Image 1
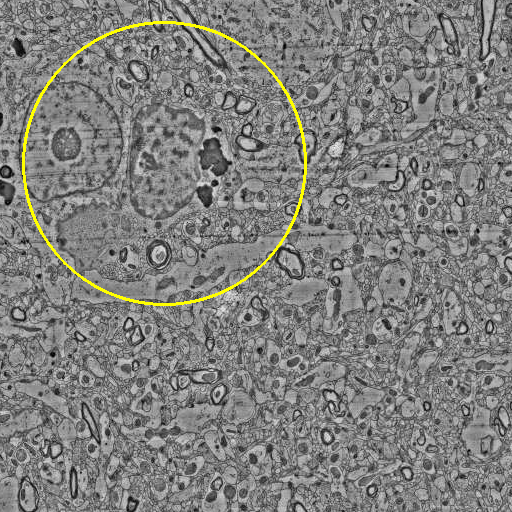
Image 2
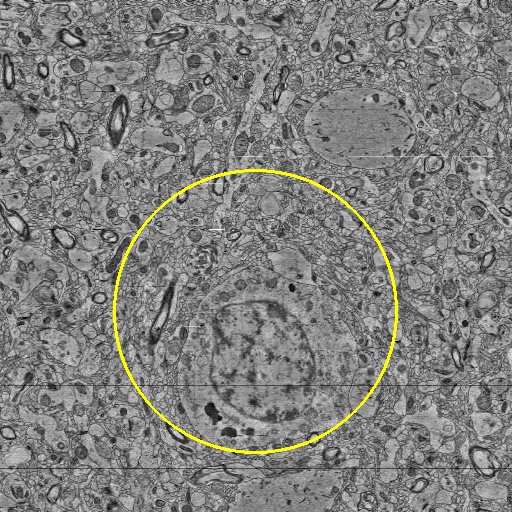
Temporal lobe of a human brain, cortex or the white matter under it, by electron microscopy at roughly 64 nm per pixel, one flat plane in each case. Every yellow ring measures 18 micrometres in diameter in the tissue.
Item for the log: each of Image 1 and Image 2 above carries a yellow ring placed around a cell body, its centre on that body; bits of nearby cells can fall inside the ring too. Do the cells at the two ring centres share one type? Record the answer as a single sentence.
No, the two cells at the ring centres in Image 1 and Image 2 are of two types.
